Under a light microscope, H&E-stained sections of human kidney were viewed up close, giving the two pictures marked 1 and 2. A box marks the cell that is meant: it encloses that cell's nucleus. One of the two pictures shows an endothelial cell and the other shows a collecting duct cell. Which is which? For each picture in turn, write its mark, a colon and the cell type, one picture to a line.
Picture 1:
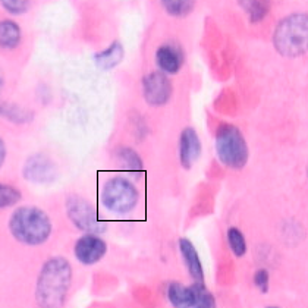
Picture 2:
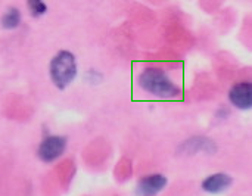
1: collecting duct cell
2: endothelial cell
